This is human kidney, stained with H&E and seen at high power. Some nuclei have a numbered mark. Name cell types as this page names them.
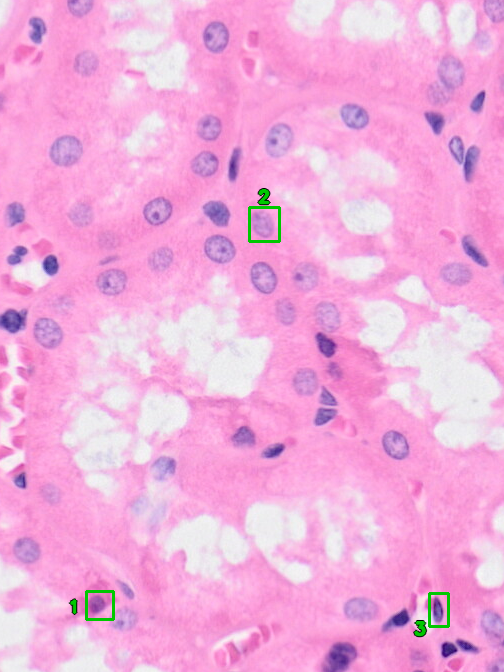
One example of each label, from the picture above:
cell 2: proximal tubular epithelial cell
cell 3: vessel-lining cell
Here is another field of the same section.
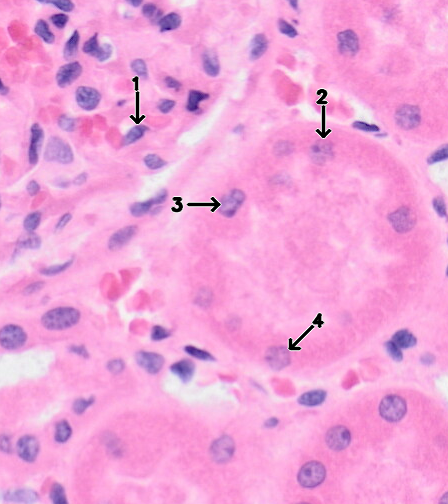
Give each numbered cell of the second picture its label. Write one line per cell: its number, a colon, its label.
1: vessel-lining cell
2: proximal tubular epithelial cell
3: proximal tubular epithelial cell
4: proximal tubular epithelial cell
